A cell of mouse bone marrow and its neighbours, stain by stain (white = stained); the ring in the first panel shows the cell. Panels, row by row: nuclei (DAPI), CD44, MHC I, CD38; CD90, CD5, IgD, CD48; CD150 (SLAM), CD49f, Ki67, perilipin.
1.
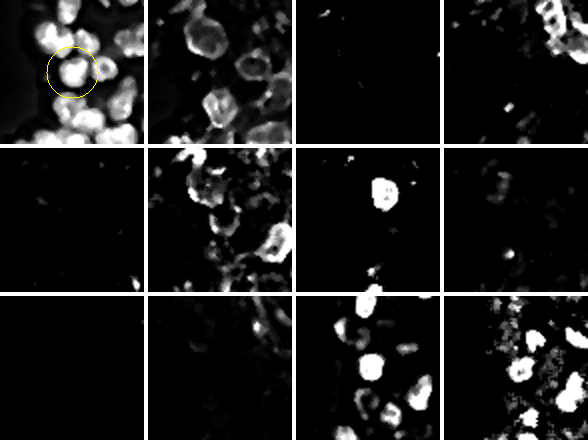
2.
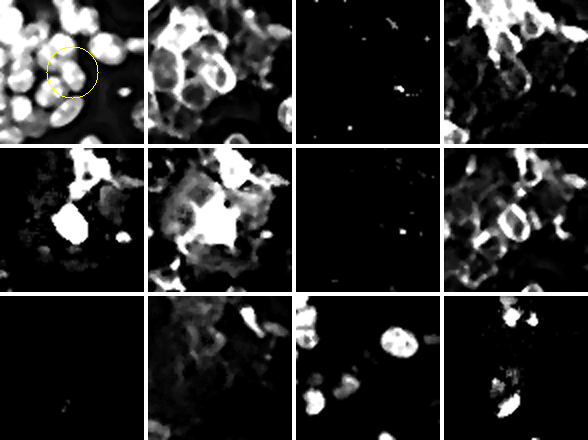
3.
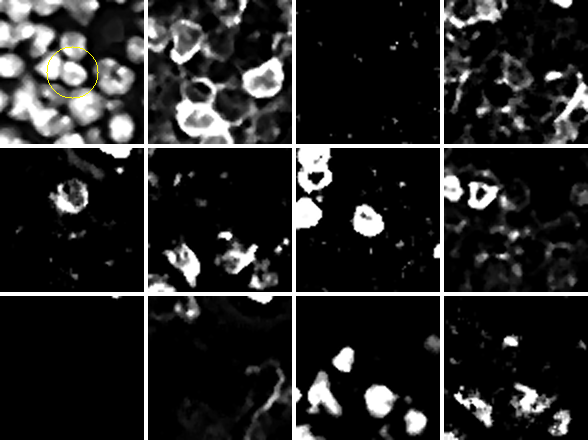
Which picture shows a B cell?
Picture 3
